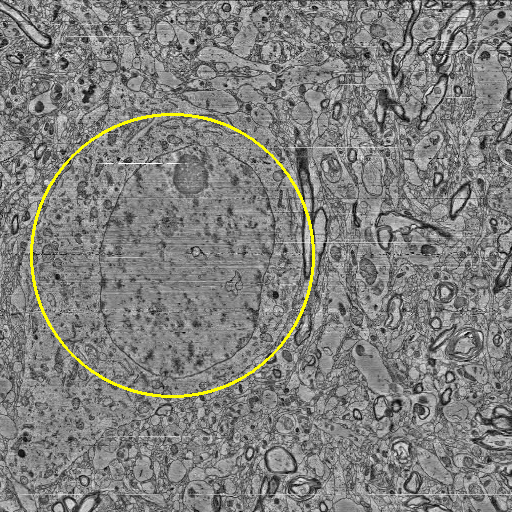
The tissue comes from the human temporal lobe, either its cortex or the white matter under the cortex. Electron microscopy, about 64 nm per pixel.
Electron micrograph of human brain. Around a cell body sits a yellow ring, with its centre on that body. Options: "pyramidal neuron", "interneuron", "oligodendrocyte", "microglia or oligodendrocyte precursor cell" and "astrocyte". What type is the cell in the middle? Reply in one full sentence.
The cell sitting at the centre of the yellow ring is a pyramidal neuron.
